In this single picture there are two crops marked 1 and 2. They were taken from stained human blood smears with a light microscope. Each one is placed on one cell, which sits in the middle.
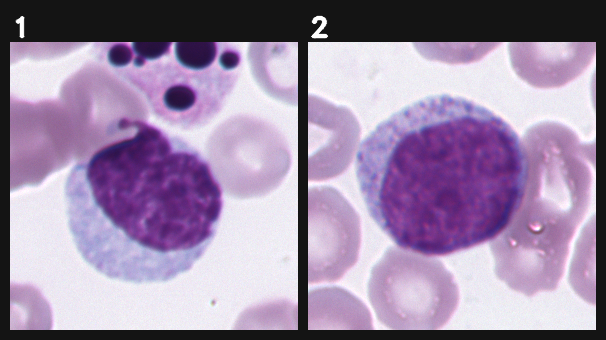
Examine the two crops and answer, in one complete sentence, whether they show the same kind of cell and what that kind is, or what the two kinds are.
No, crop 1 shows a monocyte and crop 2 a promyelocyte.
